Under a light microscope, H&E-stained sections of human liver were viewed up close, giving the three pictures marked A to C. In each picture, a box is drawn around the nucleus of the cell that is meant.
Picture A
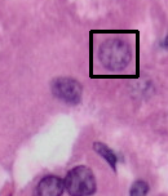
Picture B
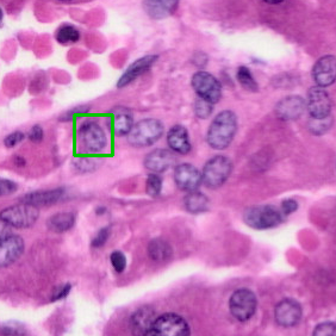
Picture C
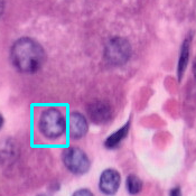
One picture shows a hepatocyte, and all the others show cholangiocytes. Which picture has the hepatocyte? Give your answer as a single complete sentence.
The hepatocyte is the one in picture A.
